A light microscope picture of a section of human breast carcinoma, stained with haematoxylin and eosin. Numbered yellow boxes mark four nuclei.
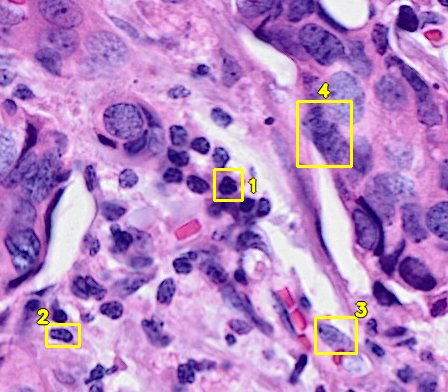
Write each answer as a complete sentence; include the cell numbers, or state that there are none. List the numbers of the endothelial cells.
Among the numbered nuclei, only the one labelled 3 belongs to an endothelial cell.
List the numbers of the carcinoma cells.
The nucleus numbered 4 is the only one that belongs to a carcinoma cell.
